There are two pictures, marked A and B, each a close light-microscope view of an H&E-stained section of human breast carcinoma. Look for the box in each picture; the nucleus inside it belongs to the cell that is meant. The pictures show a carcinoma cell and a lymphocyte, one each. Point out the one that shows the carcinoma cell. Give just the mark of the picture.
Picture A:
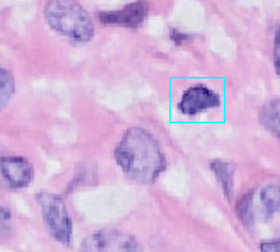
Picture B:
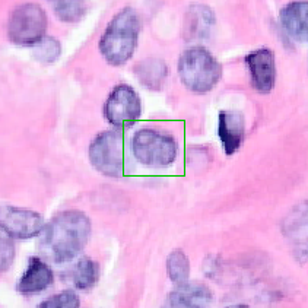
B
